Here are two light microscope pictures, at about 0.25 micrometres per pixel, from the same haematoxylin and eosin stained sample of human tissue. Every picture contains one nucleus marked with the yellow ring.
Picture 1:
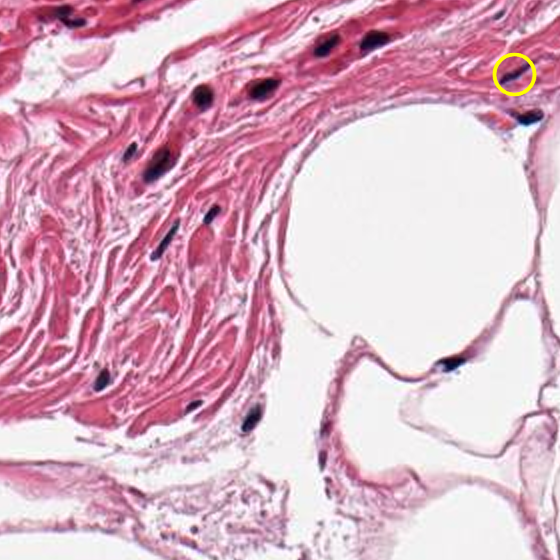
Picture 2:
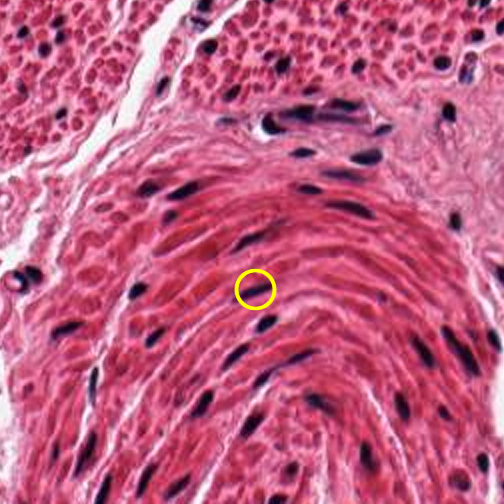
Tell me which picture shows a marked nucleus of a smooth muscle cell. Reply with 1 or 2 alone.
2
